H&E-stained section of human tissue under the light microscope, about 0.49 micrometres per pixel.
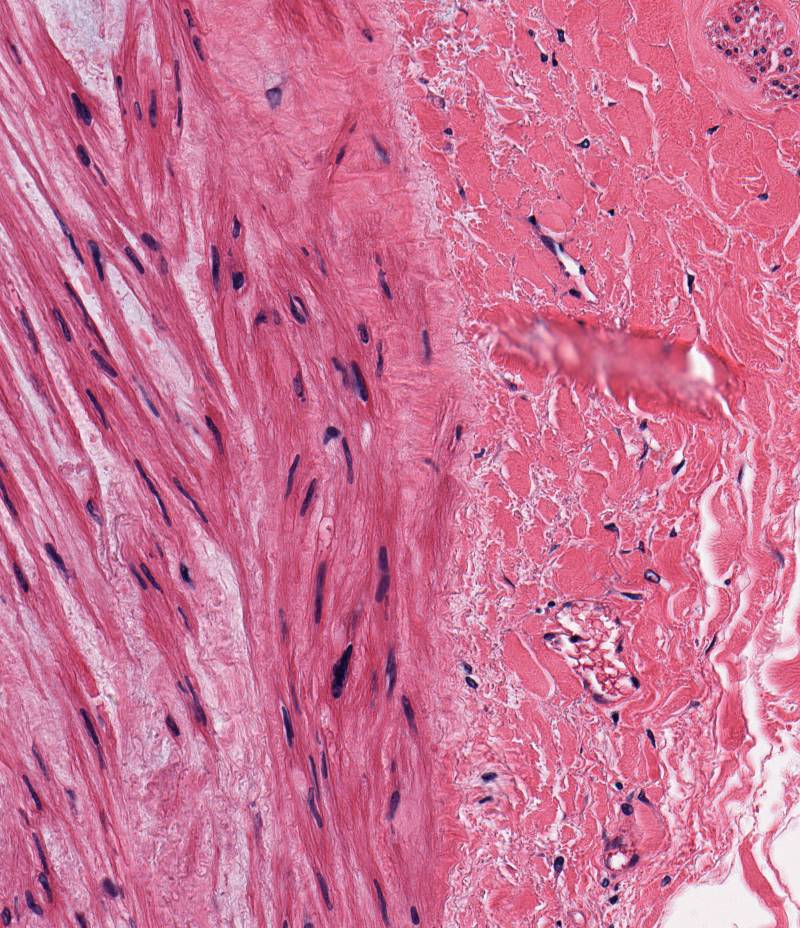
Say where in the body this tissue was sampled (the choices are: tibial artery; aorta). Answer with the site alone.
tibial artery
